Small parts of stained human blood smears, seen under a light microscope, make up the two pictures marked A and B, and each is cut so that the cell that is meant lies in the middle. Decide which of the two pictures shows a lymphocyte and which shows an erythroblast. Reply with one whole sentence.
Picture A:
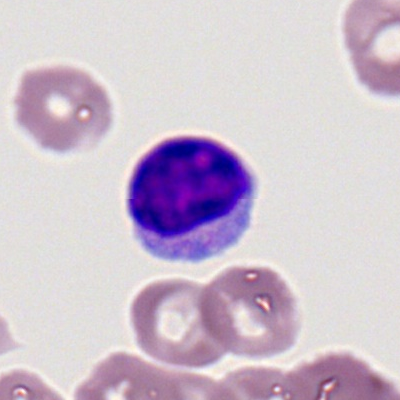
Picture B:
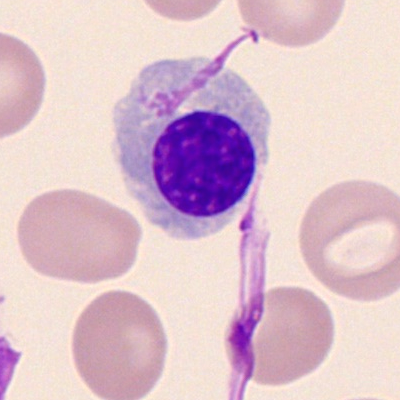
The cell in picture A is a lymphocyte, and the one in picture B is an erythroblast.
